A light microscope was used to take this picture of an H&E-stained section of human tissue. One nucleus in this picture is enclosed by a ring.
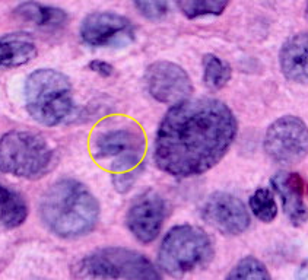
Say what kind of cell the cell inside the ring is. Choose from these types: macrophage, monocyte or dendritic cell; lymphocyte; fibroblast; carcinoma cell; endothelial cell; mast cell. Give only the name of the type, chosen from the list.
carcinoma cell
